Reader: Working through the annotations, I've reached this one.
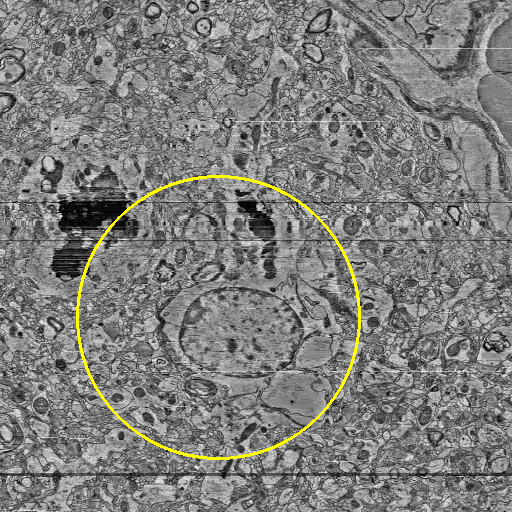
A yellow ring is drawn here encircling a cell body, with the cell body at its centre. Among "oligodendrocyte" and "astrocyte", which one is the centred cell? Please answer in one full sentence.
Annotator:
The cell body at the centre of the yellow ring in this image belongs to an astrocyte.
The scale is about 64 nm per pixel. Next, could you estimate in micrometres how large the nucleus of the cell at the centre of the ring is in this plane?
About 8 by 6 micrometers, in this plane.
